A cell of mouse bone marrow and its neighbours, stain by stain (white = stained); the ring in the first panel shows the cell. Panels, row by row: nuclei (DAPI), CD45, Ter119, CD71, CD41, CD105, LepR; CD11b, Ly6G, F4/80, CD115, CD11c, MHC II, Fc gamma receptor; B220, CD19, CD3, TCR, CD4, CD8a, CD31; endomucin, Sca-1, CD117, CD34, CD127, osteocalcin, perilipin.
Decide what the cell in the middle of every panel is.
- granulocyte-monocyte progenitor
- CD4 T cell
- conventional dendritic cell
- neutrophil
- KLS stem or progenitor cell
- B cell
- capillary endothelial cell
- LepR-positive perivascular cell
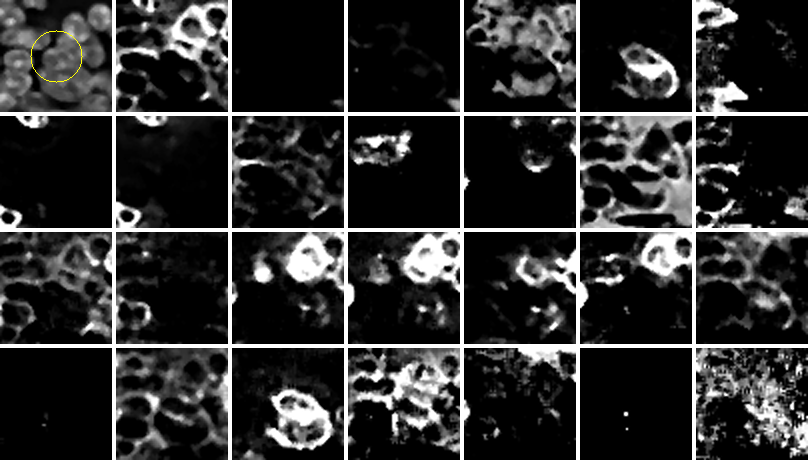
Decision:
KLS stem or progenitor cell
